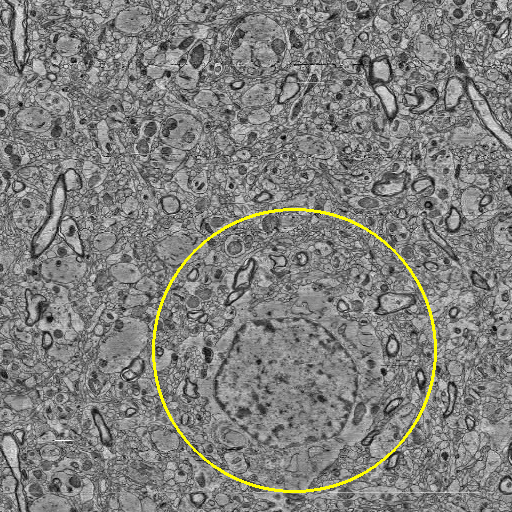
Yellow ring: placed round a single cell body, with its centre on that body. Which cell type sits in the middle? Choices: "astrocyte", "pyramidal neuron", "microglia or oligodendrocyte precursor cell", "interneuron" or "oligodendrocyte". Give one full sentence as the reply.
It is an astrocyte whose cell body sits at the centre of the yellow ring.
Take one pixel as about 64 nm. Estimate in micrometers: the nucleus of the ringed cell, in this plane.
About 9 micrometres across, as seen in this plane.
